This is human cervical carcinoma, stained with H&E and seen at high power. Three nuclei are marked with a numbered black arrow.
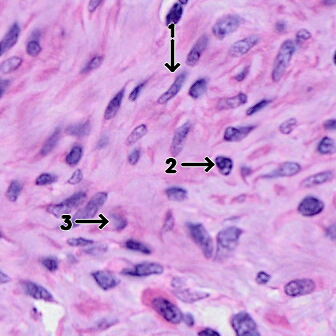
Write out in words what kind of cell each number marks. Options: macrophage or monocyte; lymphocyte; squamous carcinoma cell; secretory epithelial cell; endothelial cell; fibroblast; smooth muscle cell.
Cells 1 and 3 are smooth muscle cells. Cell 2 is a lymphocyte.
